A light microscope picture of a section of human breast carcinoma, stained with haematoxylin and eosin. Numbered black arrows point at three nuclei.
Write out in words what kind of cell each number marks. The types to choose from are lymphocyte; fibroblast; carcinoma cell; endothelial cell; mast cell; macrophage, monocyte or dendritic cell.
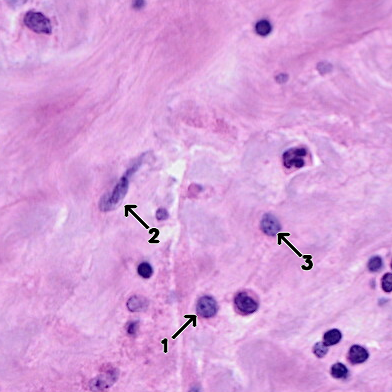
Cell 1 is a mast cell, cell 2 is a fibroblast and cell 3 is a mast cell.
